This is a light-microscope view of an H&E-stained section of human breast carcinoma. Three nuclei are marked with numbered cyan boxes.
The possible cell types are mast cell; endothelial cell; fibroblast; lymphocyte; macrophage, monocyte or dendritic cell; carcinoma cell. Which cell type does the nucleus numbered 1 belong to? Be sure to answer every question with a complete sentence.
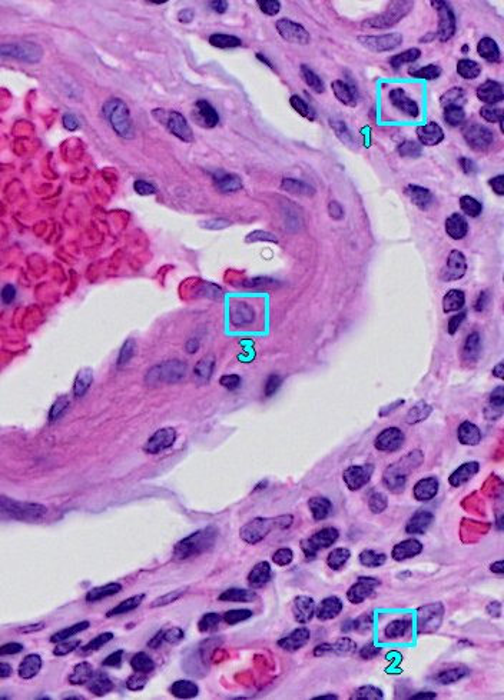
What the number 1 marks in this field is a lymphocyte.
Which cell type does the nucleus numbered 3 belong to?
Identified as an endothelial cell is the cell bearing the number 3.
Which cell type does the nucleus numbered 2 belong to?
The correct label for cell 2 is a lymphocyte.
